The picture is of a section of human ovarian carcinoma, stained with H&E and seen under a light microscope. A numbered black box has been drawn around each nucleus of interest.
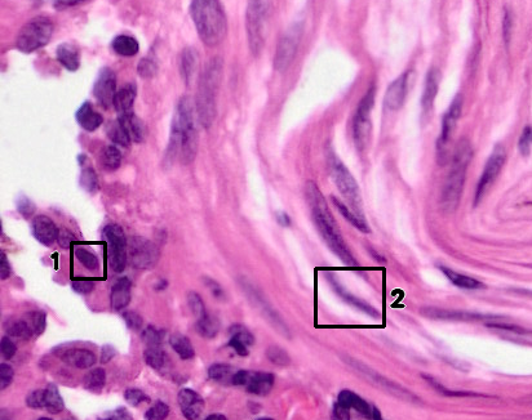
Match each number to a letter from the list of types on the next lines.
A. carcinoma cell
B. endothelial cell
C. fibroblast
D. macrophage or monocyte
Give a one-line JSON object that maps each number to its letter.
{"1": "A", "2": "C"}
